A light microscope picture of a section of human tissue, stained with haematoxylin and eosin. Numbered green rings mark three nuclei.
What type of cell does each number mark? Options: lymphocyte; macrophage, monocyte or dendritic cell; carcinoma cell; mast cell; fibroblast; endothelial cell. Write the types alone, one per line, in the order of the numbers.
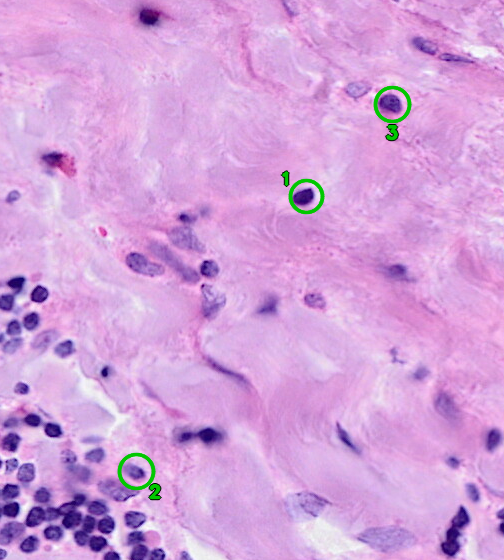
lymphocyte
lymphocyte
mast cell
